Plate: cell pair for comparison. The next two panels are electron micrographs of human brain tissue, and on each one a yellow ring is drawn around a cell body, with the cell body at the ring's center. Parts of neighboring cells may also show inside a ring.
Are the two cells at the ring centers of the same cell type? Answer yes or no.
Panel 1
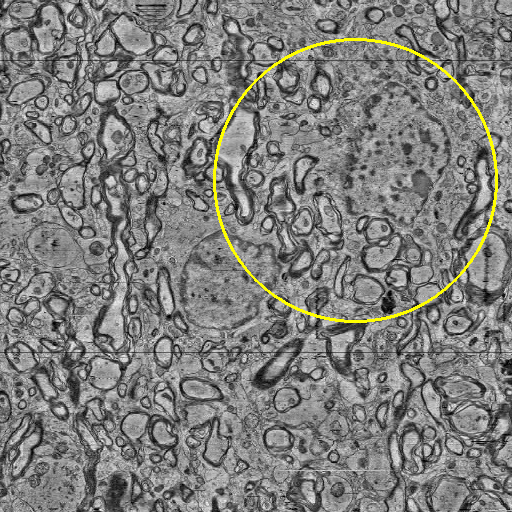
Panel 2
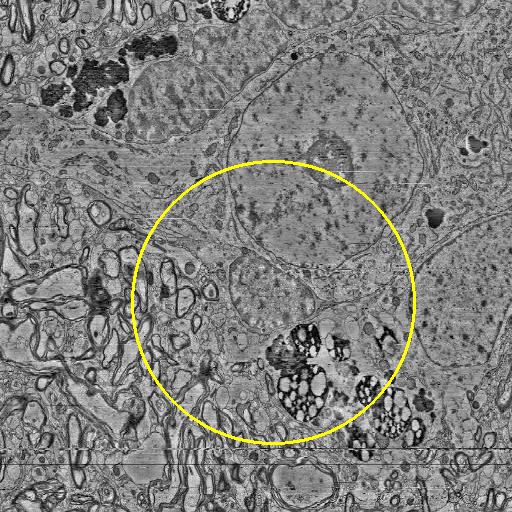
no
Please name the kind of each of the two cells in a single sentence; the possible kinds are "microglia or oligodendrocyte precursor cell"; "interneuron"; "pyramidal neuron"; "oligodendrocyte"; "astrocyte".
In the first picture the ring is centred on an astrocyte, and in the second on an oligodendrocyte.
